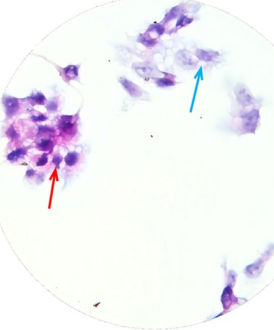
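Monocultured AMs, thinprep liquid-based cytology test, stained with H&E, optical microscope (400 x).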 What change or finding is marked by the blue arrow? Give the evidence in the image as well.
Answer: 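The cytoplasm was swollen, dissolved, and reduced. The arrowed cells have pale, washed-out cytoplasm with faint outlines. Their staining is much weaker than that of the dense cluster at left.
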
